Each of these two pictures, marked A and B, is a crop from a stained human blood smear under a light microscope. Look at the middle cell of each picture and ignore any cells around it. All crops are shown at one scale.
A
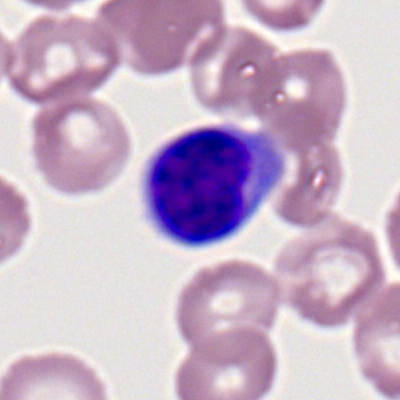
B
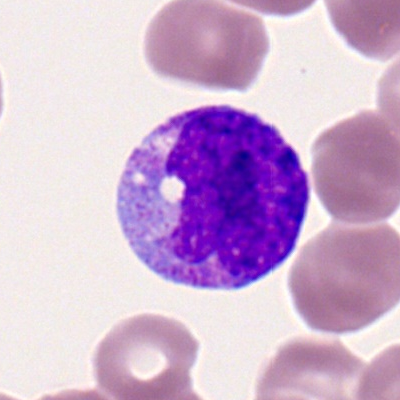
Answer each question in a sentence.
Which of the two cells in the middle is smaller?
The cell in picture A is smaller; the one in picture B has about 2 times its area.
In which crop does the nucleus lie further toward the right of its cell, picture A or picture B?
In picture B the nucleus is shifted more toward the right.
